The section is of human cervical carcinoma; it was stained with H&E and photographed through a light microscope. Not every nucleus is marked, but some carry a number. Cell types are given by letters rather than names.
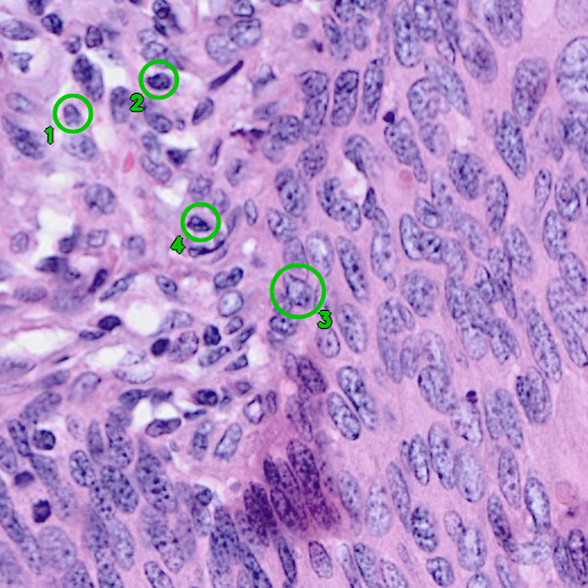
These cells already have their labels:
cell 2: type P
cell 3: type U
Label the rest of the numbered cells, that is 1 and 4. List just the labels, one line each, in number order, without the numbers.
type P
type P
